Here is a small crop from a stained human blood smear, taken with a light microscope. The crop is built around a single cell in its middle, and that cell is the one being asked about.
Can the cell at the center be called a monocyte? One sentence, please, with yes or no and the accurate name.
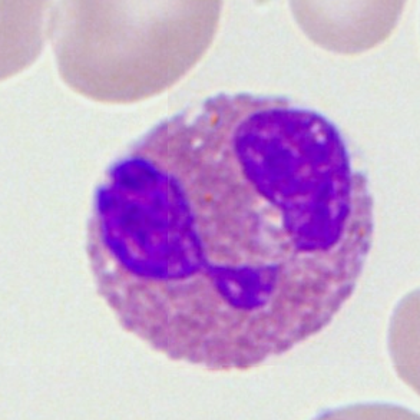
No, the central cell is an eosinophil, not a monocyte.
